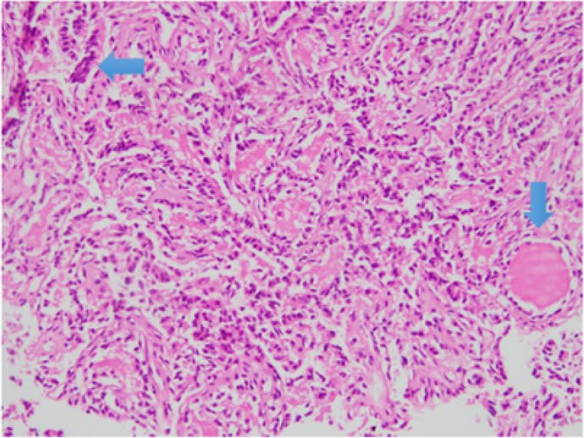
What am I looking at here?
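Tumor tissue with vague papillary structures and a follicle containing colloid. Much of the field consists of narrow, branching cords and strands of cells with dark, elongated nuclei set in pale pink, loose, oedematous and fibrous stroma. At the right edge a round follicle holds homogeneous pink colloid and is rimmed by a single layer of cells with dark nuclei. Small clear spaces and slit-like gaps lie between the strands. The cells are densely packed and overall the architecture is irregular rather than forming well-defined fronds.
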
